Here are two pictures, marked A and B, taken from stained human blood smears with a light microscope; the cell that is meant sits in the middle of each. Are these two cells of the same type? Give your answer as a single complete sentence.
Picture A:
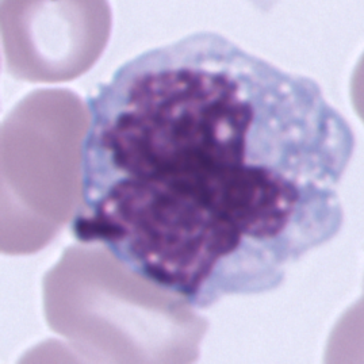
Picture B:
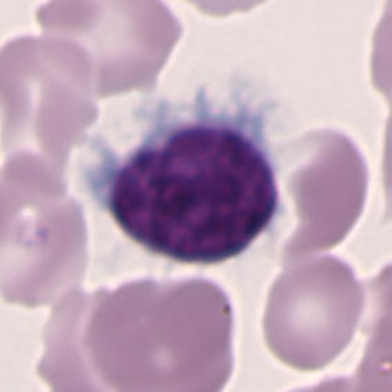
No, the types are not the same, since picture A shows a monocyte and picture B a hairy cell.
